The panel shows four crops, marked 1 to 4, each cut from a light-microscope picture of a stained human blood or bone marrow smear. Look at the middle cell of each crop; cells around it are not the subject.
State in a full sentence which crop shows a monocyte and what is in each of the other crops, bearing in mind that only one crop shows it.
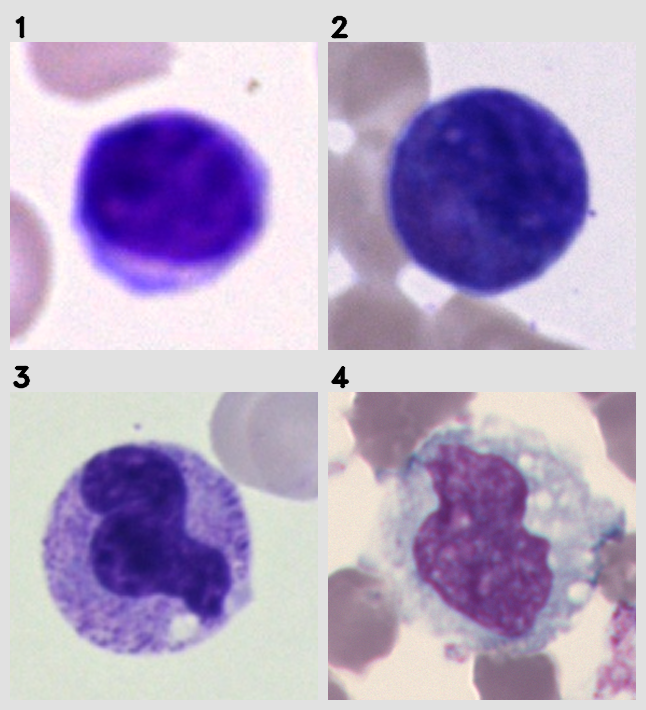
Crop 4 shows a monocyte, and meanwhile crop 1 is a lymphocyte, crop 2 is an eosinophil and crop 3 is a band neutrophil.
